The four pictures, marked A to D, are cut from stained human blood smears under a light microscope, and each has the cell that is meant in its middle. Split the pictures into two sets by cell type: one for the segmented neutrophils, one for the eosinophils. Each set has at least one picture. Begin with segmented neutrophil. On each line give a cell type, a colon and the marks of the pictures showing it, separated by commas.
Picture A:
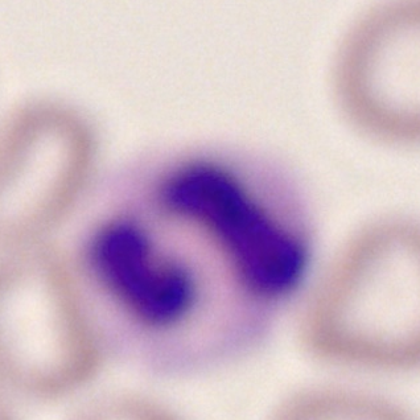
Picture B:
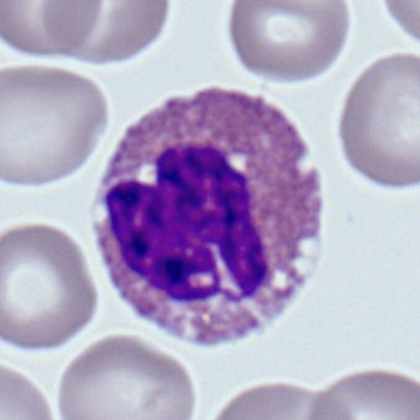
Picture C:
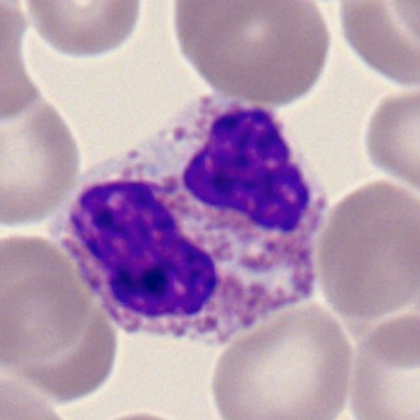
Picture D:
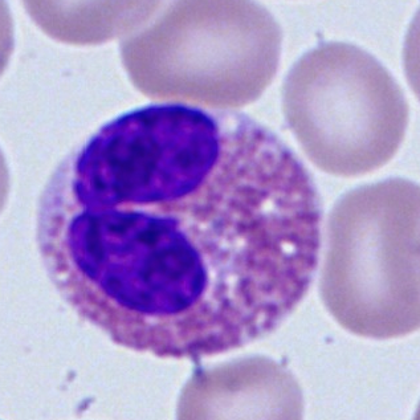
segmented neutrophil: A
eosinophil: B, C, D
